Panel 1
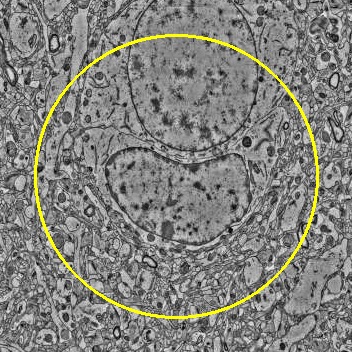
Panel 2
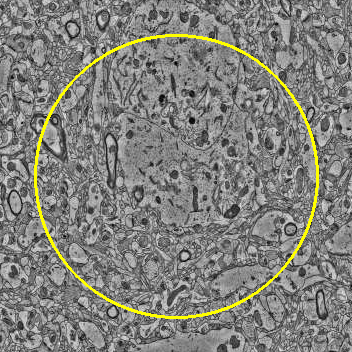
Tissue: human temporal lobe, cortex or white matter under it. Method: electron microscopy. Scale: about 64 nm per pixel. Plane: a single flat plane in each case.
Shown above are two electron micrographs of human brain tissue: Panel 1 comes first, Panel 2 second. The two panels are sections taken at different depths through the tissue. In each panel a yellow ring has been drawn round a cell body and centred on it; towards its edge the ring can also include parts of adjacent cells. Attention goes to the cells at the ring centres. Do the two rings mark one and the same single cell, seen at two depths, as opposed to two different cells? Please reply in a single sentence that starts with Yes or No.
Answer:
Yes, the two rings belong to one cell, not to two.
